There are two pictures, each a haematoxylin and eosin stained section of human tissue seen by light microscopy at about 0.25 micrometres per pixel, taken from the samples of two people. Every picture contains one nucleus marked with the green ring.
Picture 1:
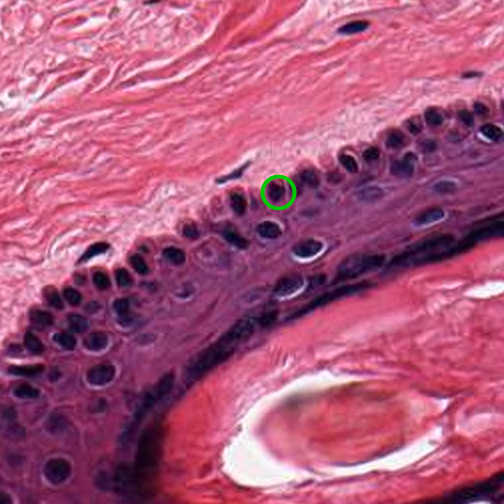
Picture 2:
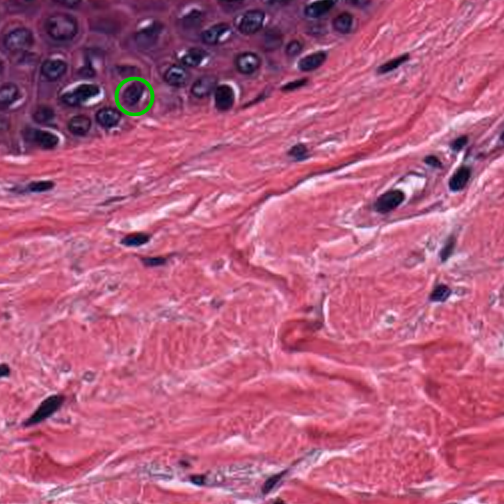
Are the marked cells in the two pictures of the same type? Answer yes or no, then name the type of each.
Yes, both are keratinocytes.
